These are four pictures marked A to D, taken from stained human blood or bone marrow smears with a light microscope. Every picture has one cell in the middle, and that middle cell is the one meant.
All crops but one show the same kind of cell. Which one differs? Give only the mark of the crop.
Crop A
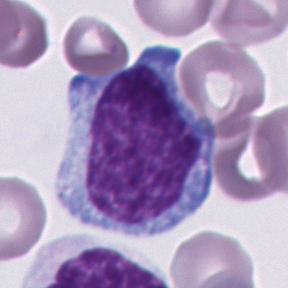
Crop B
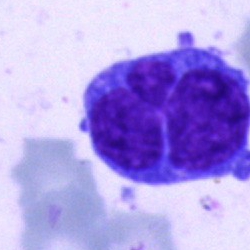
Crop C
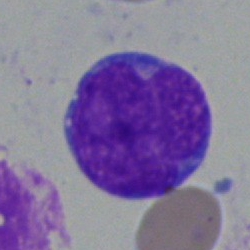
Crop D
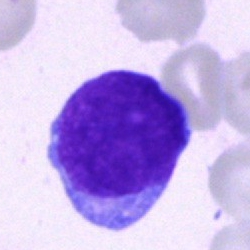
A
